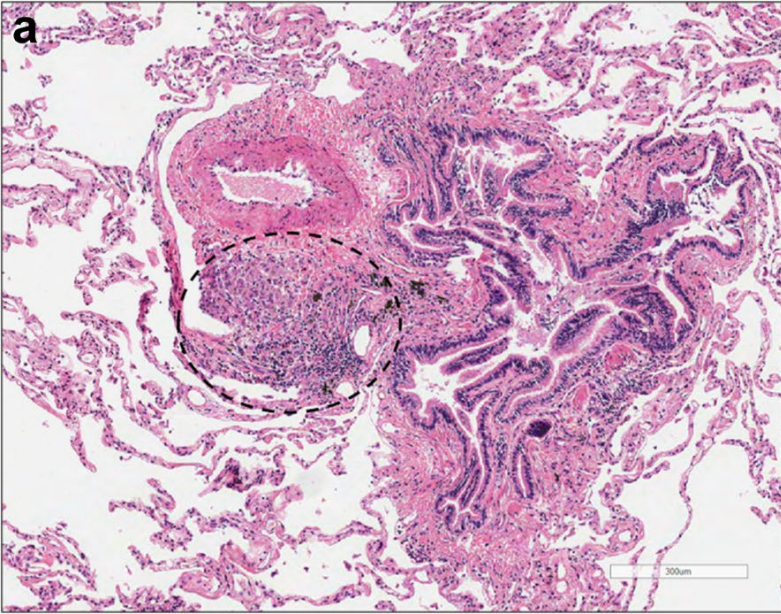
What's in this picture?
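This is lung tissue where a small airway lined by a dark purple, deeply folded epithelium lies beside a blood vessel with a thick pink wall. Next to them sits a compact rounded cluster of cells forming a small granuloma, with a few black pigment specks nearby. Around this centre the alveolar walls are thin and delicate, with only scattered inflammatory cells.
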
